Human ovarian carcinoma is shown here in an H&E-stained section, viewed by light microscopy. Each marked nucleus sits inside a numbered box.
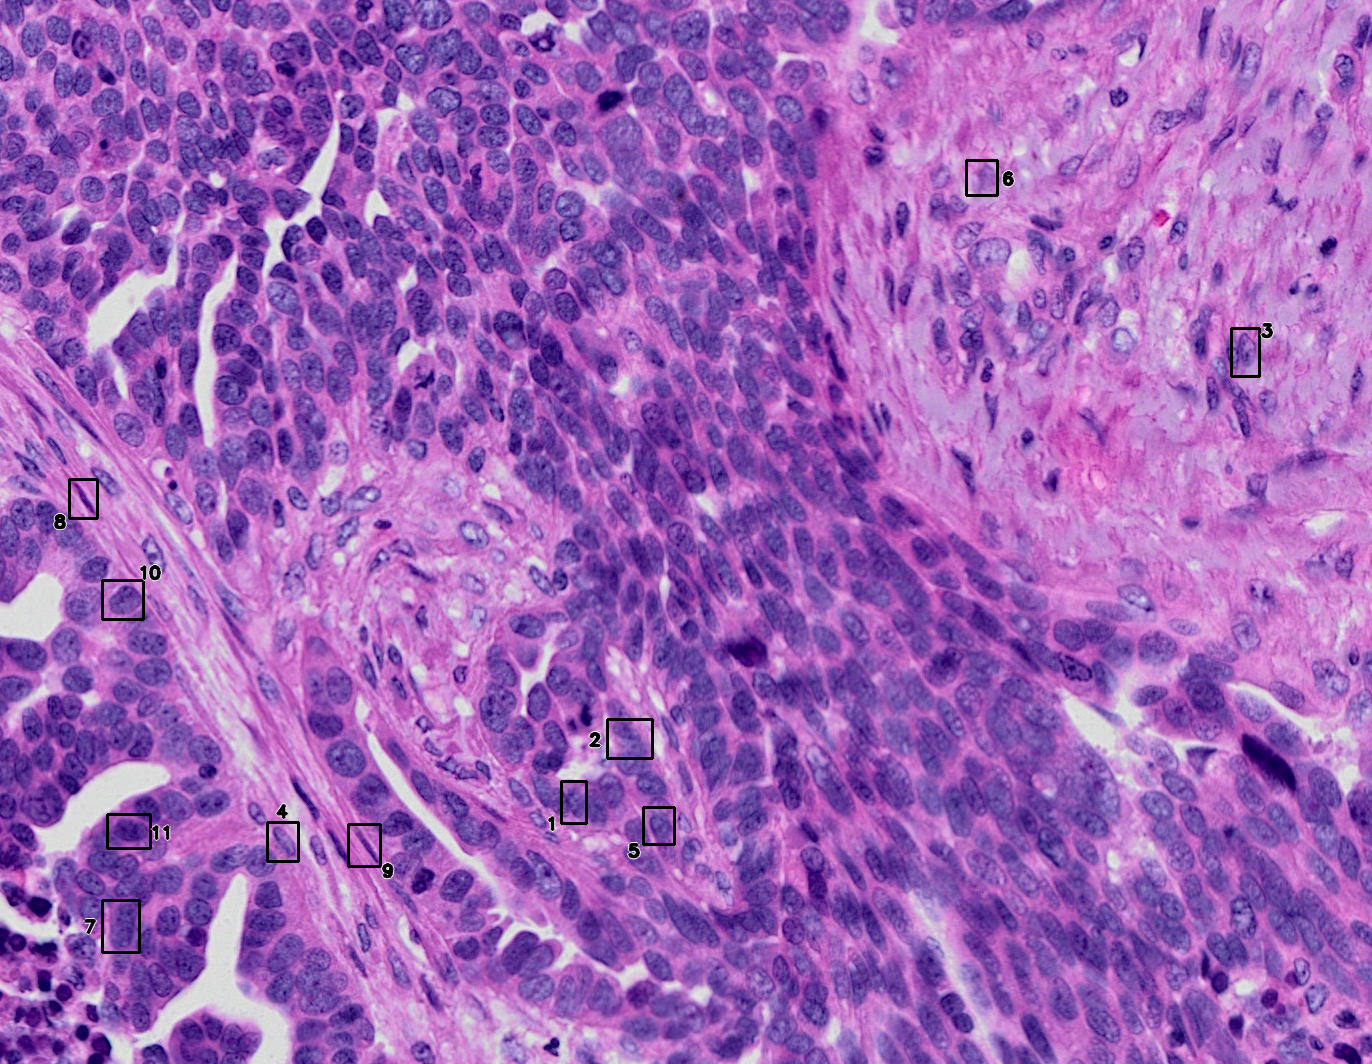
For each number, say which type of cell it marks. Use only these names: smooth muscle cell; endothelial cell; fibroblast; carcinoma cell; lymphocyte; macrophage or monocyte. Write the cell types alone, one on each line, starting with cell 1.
carcinoma cell
carcinoma cell
fibroblast
fibroblast
carcinoma cell
fibroblast
carcinoma cell
fibroblast
fibroblast
carcinoma cell
carcinoma cell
